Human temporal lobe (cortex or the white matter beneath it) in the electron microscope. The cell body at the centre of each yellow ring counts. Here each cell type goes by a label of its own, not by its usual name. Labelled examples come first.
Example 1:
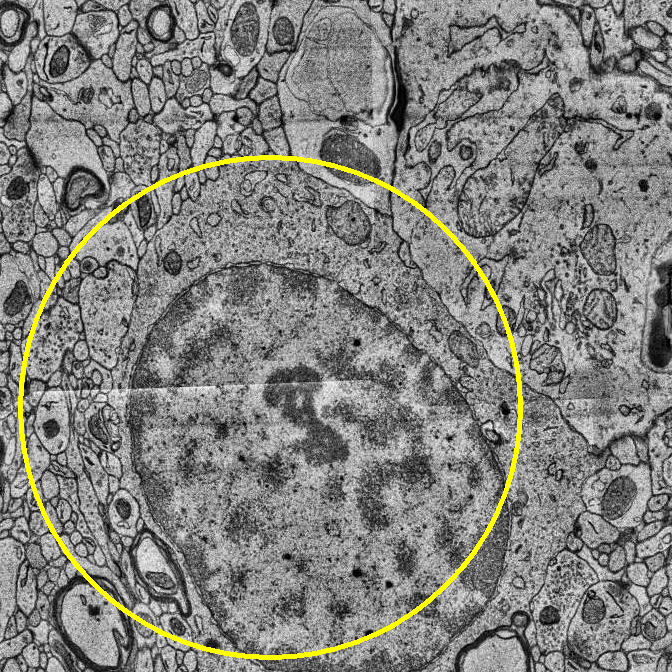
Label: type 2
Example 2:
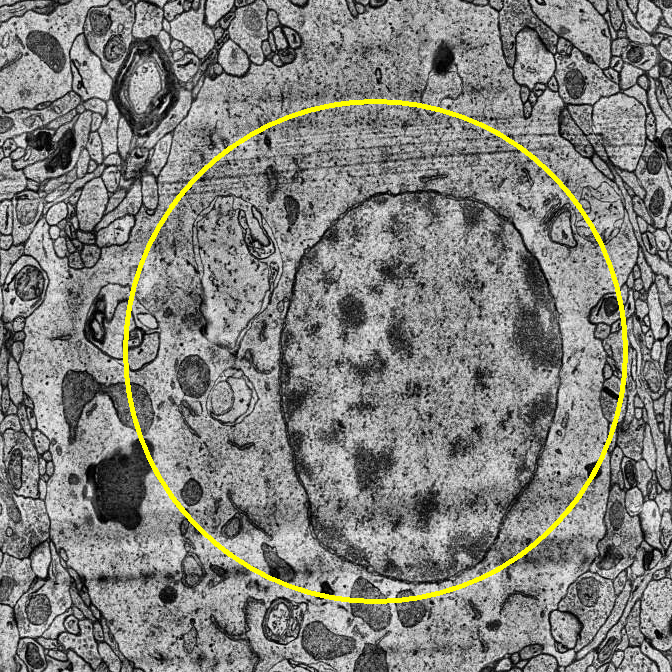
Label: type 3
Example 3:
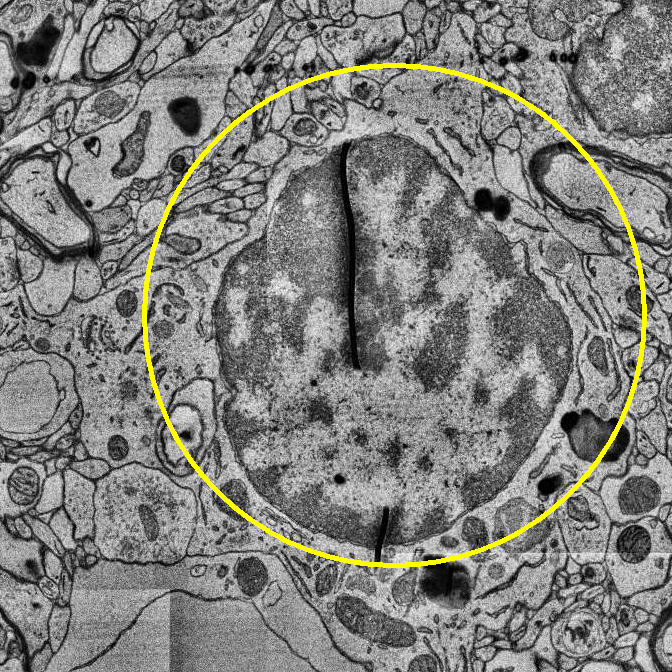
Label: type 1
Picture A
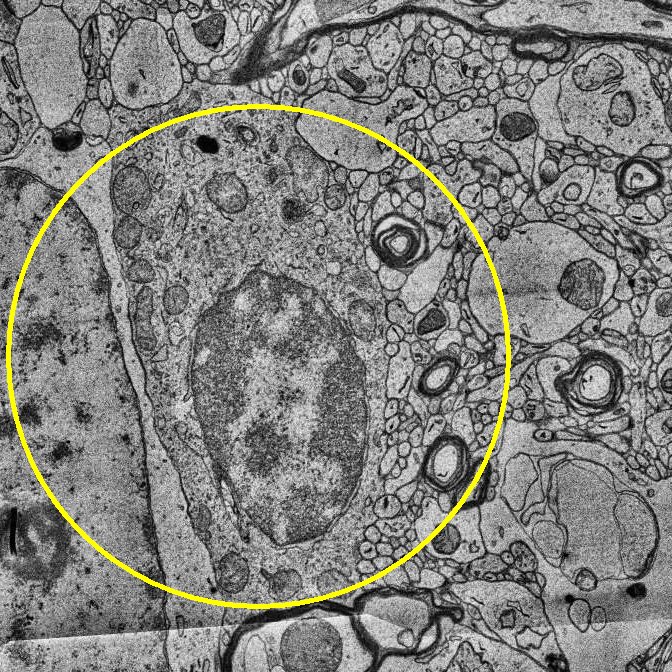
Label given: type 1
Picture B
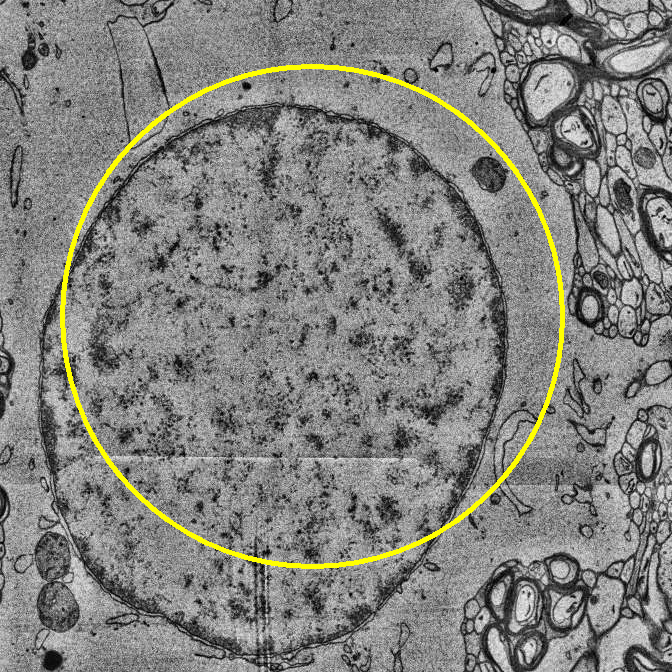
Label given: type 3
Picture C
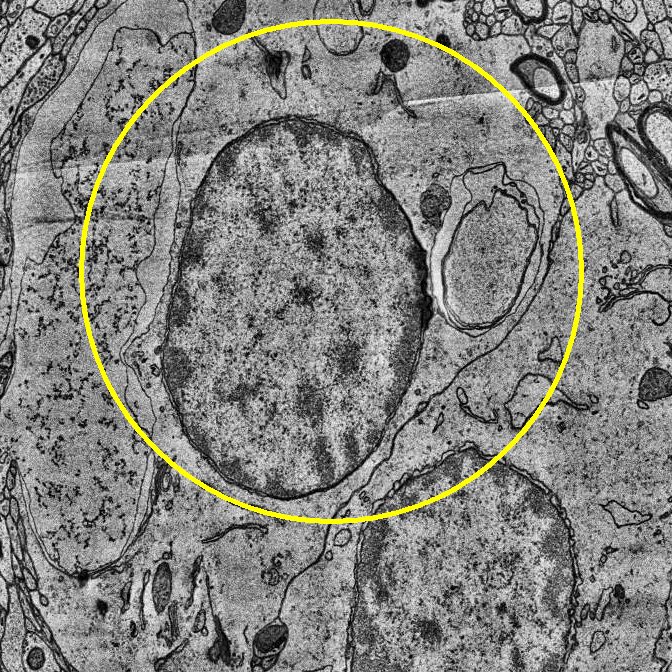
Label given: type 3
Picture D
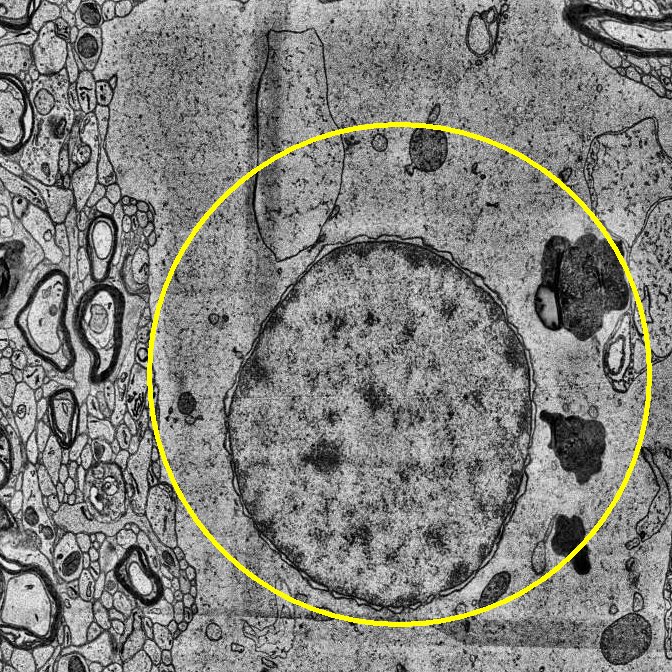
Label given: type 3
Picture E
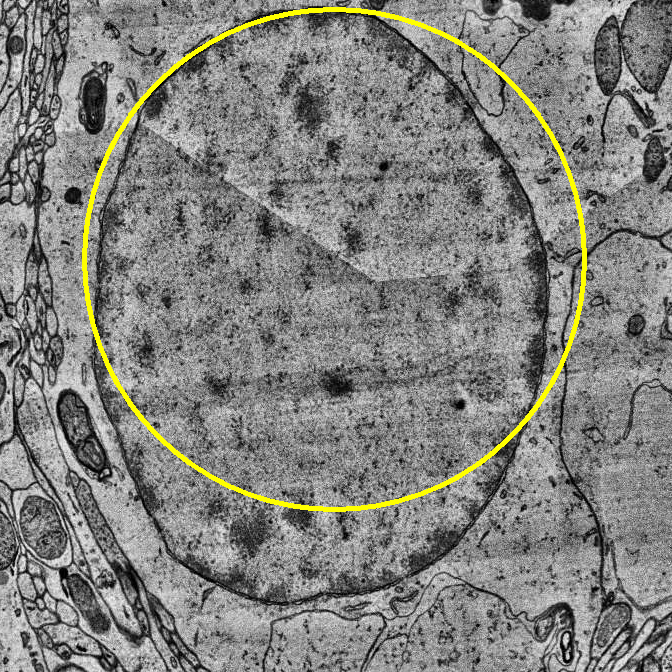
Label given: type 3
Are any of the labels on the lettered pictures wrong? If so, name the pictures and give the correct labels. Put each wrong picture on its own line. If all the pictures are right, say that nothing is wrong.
A: change type 1 to type 2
